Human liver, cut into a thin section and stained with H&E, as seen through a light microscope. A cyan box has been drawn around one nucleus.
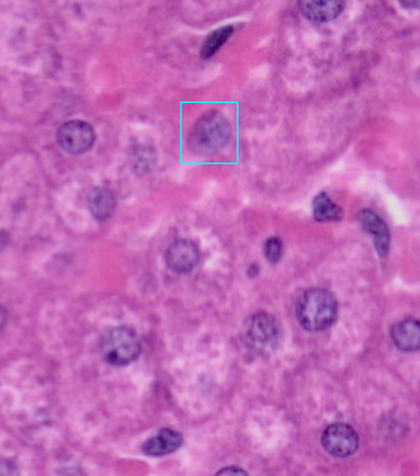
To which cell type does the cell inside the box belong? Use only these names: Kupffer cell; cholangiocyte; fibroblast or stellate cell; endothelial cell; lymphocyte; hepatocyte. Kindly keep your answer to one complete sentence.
As to its cell type, the cell inside the box is an endothelial cell.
